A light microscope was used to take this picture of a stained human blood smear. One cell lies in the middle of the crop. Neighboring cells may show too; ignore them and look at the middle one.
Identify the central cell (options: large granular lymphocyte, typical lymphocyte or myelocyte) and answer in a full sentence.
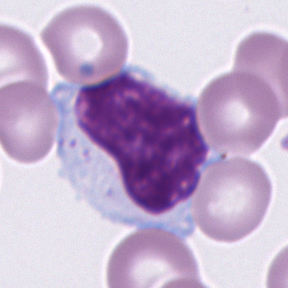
This crop has a large granular lymphocyte at its centre.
